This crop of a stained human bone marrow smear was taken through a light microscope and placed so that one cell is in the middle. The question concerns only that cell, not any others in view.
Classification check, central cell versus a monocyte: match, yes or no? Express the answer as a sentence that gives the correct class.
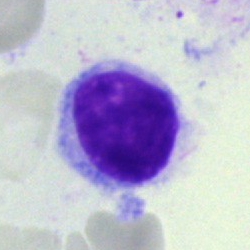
No, instead of being a monocyte, the middle cell is a hairy cell.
